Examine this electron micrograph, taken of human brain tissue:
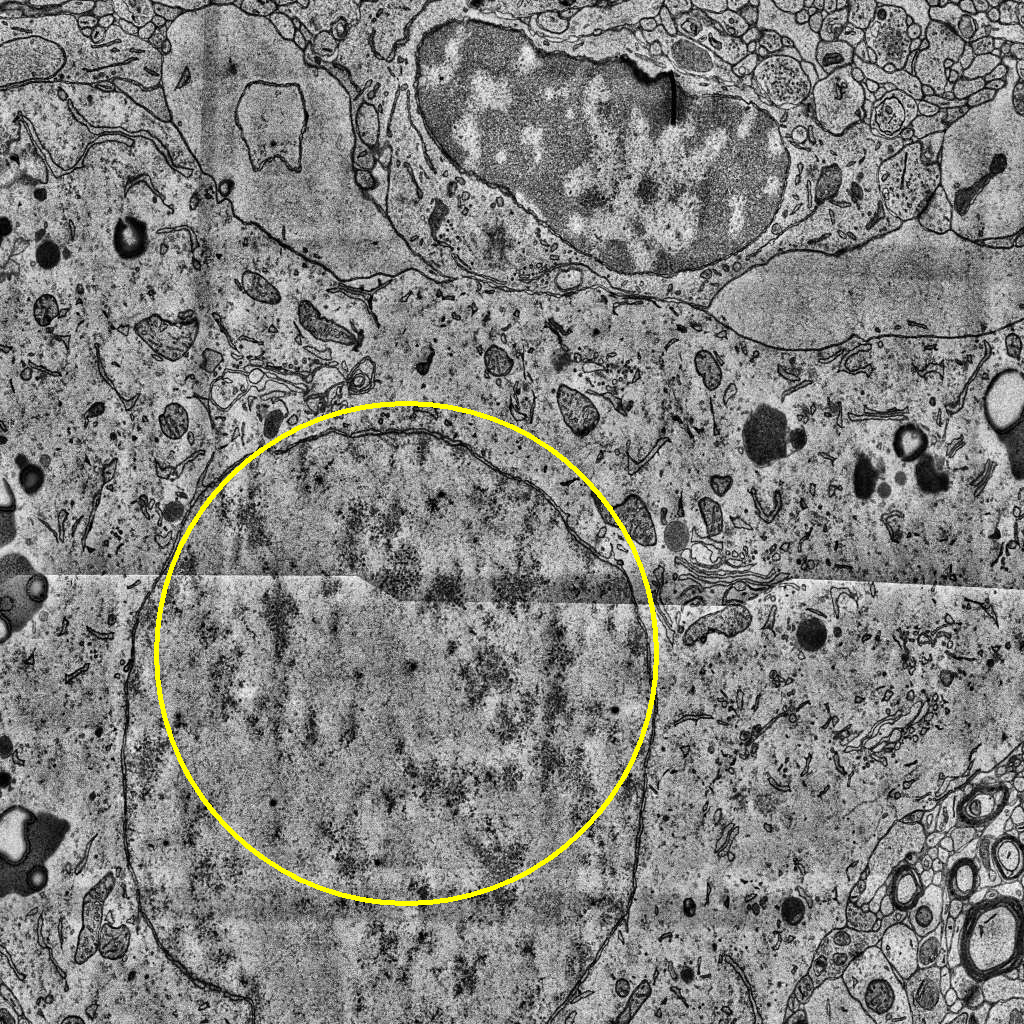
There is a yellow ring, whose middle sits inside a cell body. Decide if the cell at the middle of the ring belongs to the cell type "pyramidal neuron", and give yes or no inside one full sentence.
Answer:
Yes, the cell at the centre of the yellow ring in this picture is of that type.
